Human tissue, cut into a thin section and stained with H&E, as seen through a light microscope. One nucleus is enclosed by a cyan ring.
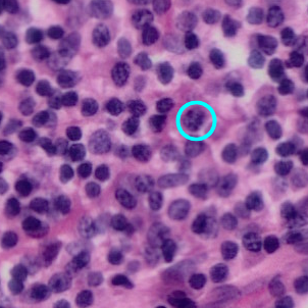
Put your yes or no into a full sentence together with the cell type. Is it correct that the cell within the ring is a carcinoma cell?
No, the cell within the ring is recognized as a plasma cell rather than a carcinoma cell.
